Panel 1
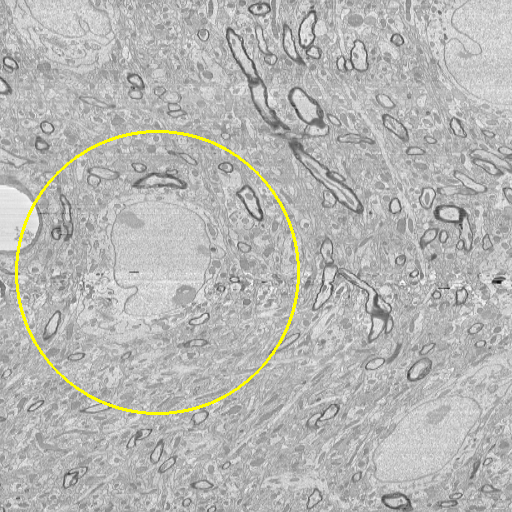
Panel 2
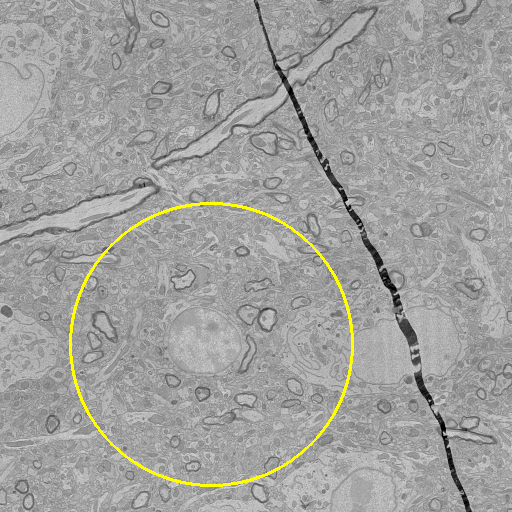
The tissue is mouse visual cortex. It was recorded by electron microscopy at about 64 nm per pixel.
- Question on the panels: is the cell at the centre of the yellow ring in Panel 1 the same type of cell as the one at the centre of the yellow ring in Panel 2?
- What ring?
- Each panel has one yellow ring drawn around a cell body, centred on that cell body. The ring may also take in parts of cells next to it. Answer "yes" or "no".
no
